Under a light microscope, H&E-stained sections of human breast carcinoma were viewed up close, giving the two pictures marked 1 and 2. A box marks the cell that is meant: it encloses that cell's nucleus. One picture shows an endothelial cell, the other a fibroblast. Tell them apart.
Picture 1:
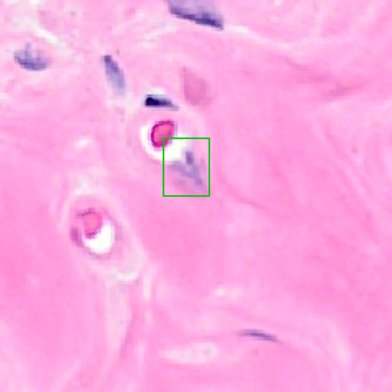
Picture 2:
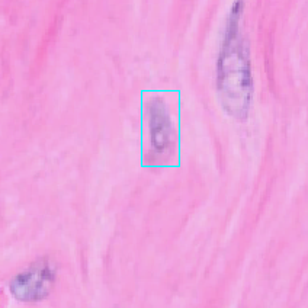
1: endothelial cell
2: fibroblast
